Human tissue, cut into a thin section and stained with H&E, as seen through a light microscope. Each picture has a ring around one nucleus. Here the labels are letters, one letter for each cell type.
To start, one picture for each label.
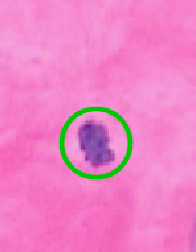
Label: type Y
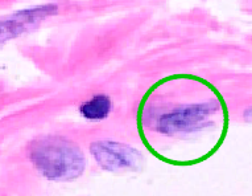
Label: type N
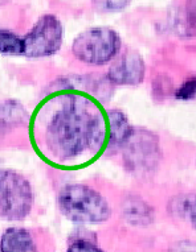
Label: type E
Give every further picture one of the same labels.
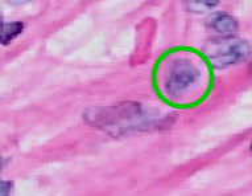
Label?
type N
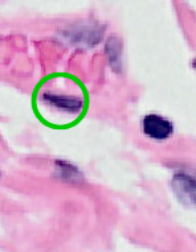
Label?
type N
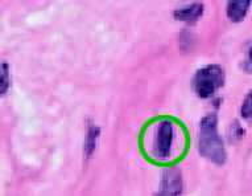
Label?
type Y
